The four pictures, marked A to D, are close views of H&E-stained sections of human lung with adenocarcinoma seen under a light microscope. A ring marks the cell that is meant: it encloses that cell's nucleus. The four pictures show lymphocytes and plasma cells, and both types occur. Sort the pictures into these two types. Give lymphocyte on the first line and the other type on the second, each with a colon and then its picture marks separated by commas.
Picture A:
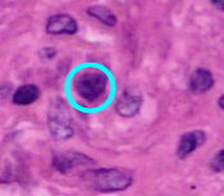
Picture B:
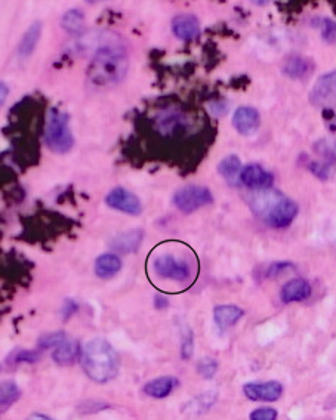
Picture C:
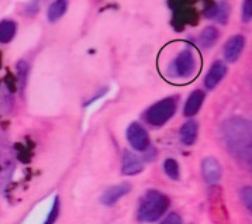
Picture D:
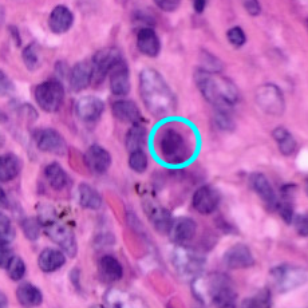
lymphocyte: C
plasma cell: A, B, D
